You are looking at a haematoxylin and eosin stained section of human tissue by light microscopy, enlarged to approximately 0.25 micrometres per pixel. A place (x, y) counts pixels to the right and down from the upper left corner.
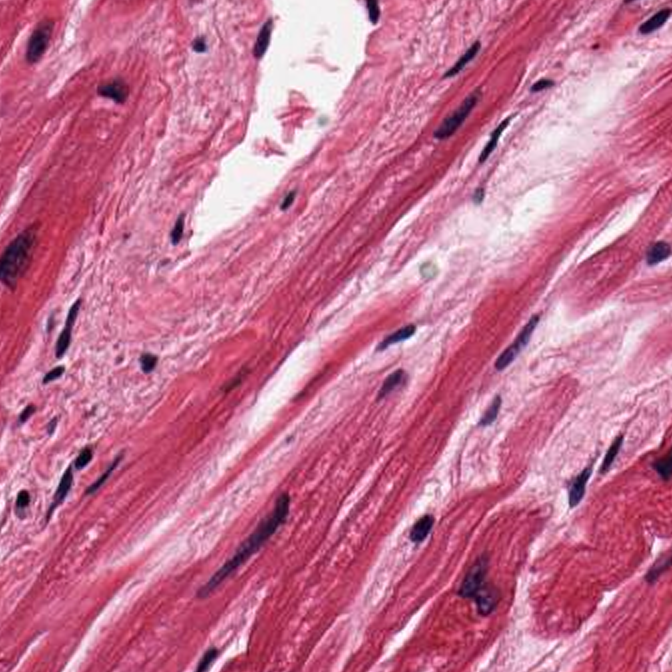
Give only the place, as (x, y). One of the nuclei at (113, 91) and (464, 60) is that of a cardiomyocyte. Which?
(113, 91)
